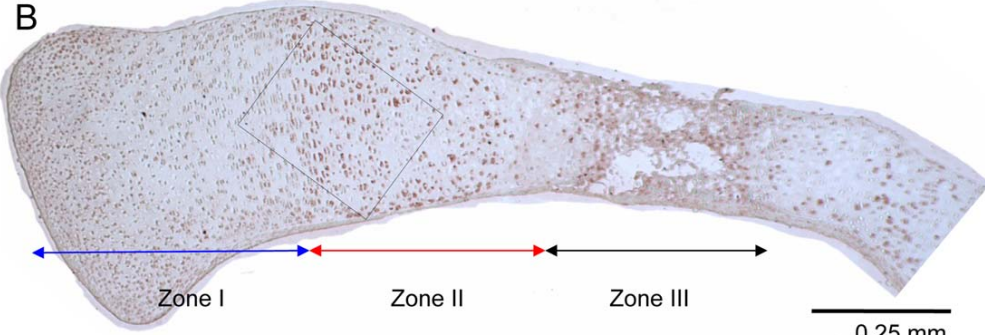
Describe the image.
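This is a longitudinal section of an elongated growth plate cartilage. The broad end is made up of small, densely scattered chondrocytes. Toward the middle, the cells become larger and line up in columns, and many of them take up red-brown stain. Further along is a more disrupted region with clustered brown cells and gaps in the tissue.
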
